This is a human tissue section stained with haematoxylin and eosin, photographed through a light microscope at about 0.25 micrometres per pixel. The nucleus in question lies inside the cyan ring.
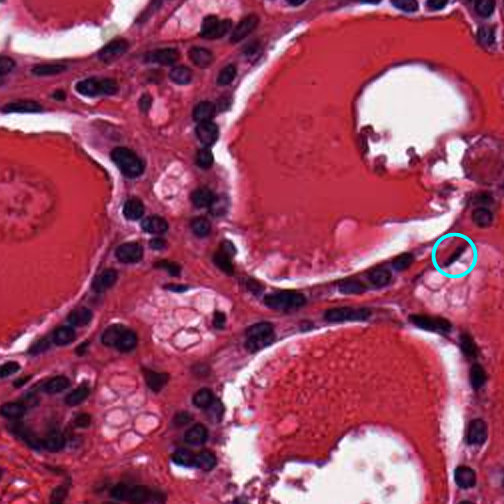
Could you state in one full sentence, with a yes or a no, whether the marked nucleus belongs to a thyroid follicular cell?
No, it is not a thyroid follicular cell but a supporting cell to which the marked nucleus is assigned.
